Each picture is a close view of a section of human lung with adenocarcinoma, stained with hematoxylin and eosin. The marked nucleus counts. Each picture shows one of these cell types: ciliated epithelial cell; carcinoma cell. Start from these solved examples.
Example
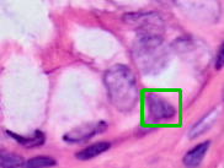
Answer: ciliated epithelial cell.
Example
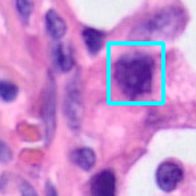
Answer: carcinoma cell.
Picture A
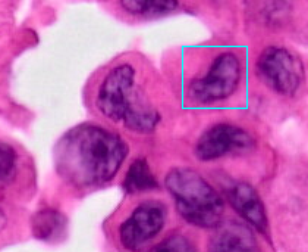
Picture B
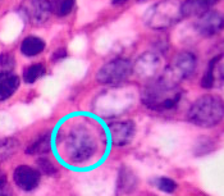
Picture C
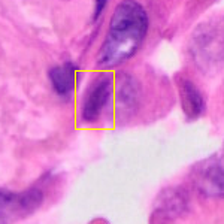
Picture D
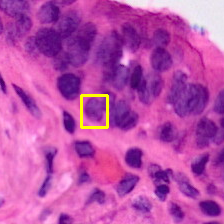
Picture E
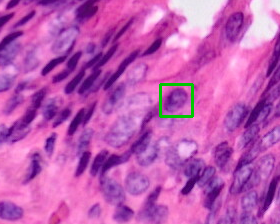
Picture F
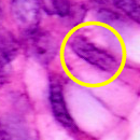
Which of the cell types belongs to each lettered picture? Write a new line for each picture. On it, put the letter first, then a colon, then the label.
A: carcinoma cell.
B: ciliated epithelial cell.
C: carcinoma cell.
D: ciliated epithelial cell.
E: ciliated epithelial cell.
F: ciliated epithelial cell.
